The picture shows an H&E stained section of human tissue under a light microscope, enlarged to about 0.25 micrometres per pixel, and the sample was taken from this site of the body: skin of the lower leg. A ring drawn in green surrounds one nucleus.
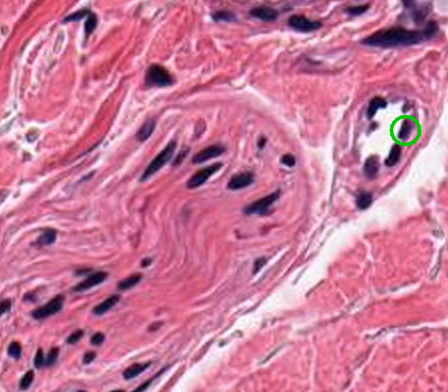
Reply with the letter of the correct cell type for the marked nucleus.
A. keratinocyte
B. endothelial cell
B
